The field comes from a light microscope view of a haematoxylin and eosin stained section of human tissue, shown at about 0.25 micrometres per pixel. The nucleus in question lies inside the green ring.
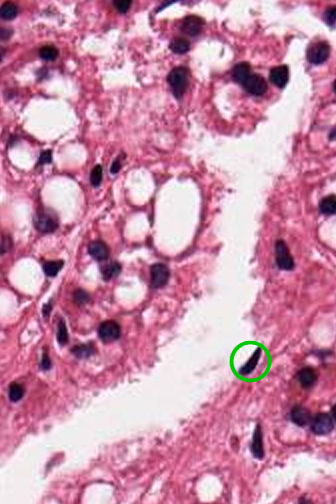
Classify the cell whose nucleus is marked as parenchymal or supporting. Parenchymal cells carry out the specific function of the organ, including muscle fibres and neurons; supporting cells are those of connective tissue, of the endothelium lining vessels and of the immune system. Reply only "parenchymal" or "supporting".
supporting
